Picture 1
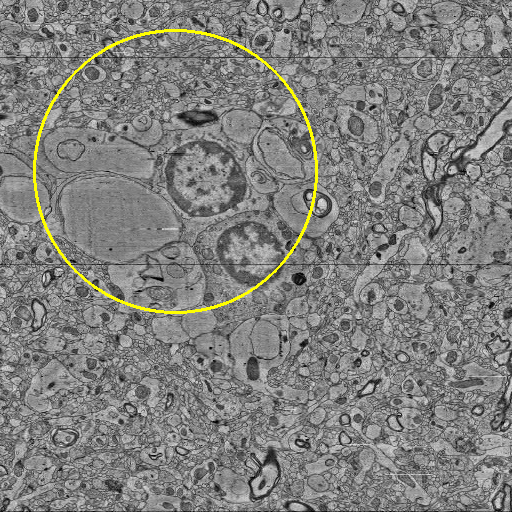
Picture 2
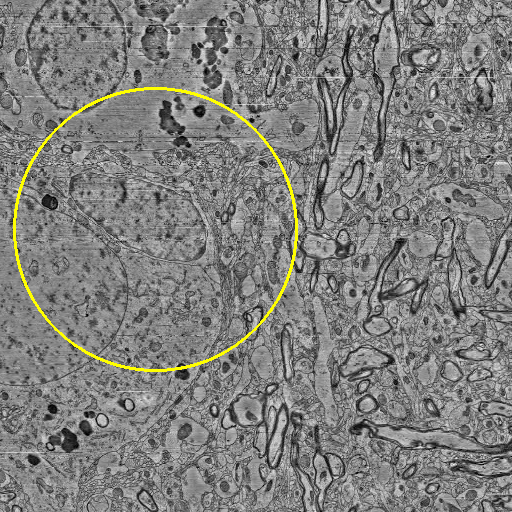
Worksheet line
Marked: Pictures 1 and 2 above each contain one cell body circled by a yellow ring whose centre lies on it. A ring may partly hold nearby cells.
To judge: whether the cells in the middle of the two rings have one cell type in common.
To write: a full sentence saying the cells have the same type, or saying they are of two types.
The cells in the middle of the rings in Picture 1 and Picture 2 have the same type.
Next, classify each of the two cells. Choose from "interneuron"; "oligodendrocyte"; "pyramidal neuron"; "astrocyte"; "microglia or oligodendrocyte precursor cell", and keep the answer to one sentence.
The first and the second cell are each a microglial cell or oligodendrocyte precursor cell.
